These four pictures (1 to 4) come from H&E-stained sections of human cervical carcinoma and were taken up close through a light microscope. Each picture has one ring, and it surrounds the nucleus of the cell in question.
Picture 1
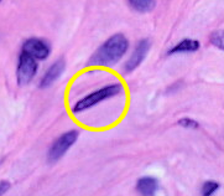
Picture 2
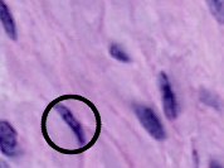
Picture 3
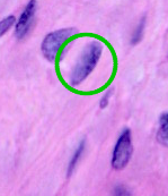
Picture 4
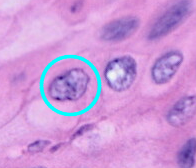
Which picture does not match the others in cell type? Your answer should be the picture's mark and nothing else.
4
